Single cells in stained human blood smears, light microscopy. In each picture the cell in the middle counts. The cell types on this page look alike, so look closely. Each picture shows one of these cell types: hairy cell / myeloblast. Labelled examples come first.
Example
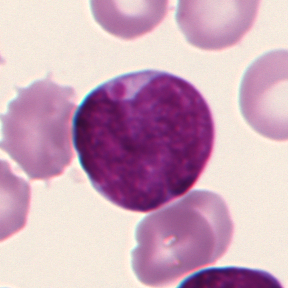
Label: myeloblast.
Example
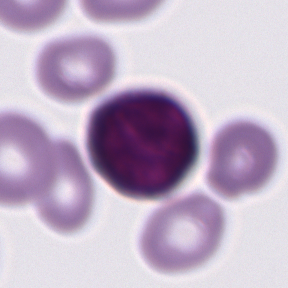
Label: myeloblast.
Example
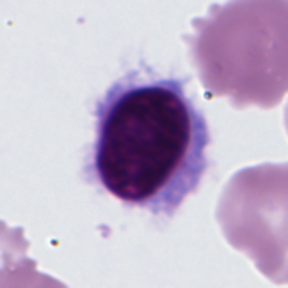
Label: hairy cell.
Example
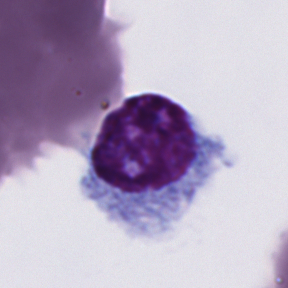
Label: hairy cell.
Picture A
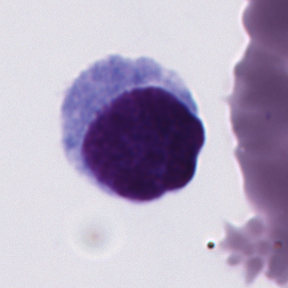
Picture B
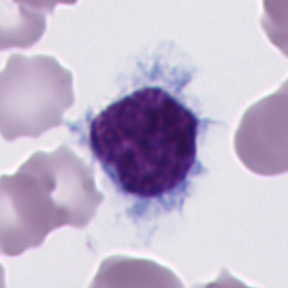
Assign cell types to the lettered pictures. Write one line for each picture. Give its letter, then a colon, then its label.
A: hairy cell.
B: hairy cell.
